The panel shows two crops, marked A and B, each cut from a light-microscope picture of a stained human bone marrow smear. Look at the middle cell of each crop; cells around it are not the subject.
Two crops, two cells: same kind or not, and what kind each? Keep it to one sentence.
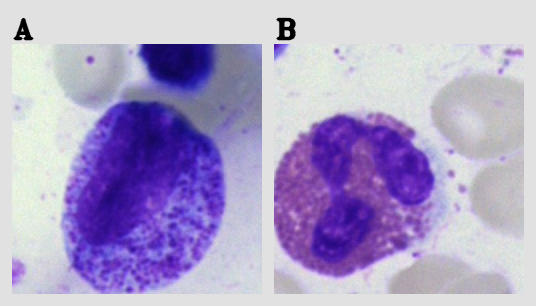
No, an eosinophil is in crop B, and a promyelocyte is in crop A.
